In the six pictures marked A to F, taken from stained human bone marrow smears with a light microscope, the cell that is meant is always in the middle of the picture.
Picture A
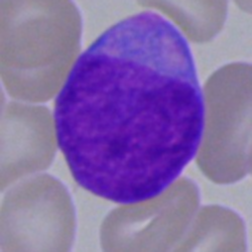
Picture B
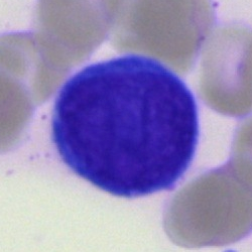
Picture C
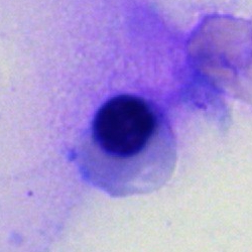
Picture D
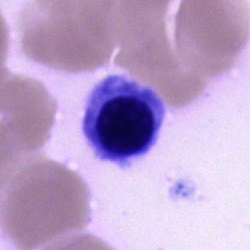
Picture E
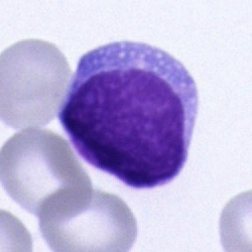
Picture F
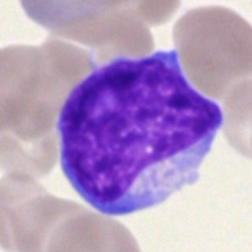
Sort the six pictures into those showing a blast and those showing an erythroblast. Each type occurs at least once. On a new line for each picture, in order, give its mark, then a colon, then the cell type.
A: blast
B: blast
C: erythroblast
D: erythroblast
E: blast
F: blast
